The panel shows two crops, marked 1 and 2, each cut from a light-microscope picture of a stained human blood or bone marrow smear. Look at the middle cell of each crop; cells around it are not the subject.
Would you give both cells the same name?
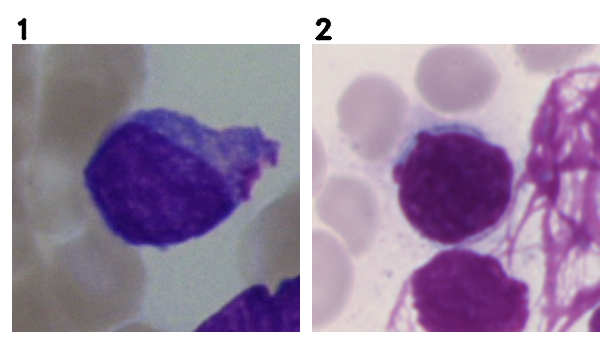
yes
